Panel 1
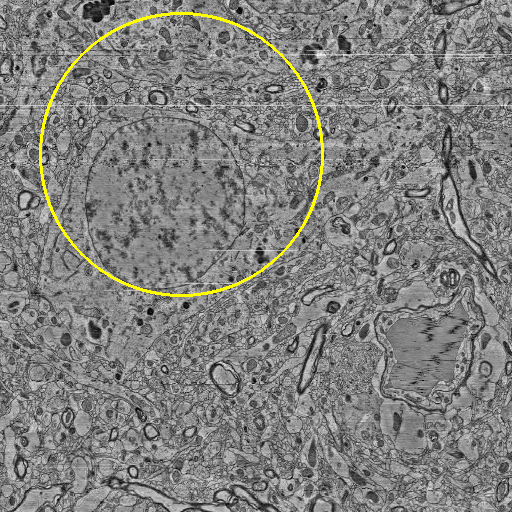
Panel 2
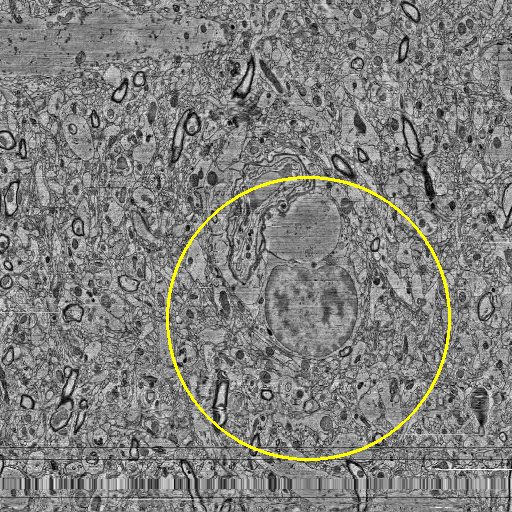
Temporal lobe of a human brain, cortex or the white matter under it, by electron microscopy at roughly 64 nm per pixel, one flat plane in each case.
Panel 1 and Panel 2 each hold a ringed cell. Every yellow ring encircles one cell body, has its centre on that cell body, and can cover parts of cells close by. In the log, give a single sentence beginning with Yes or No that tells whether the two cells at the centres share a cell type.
No, in Panel 1 and Panel 2 the centred cells are of two cell types.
